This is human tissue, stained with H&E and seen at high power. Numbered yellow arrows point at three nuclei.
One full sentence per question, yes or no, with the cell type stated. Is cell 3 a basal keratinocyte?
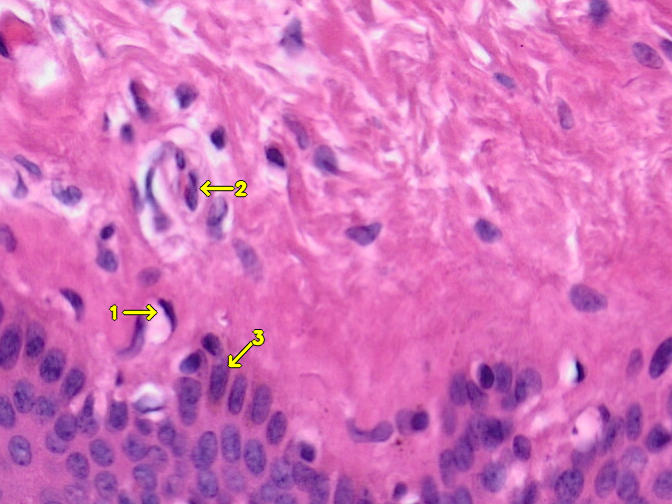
Yes, the cell identified as number 3 is a basal keratinocyte.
